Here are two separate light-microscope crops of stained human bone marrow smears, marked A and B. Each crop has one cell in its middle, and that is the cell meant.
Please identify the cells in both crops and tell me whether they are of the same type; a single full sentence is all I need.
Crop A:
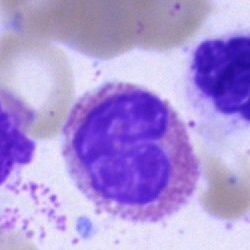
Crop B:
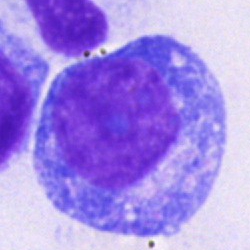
No, an eosinophil is what occupies crop A, and a promyelocyte is what occupies crop B.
